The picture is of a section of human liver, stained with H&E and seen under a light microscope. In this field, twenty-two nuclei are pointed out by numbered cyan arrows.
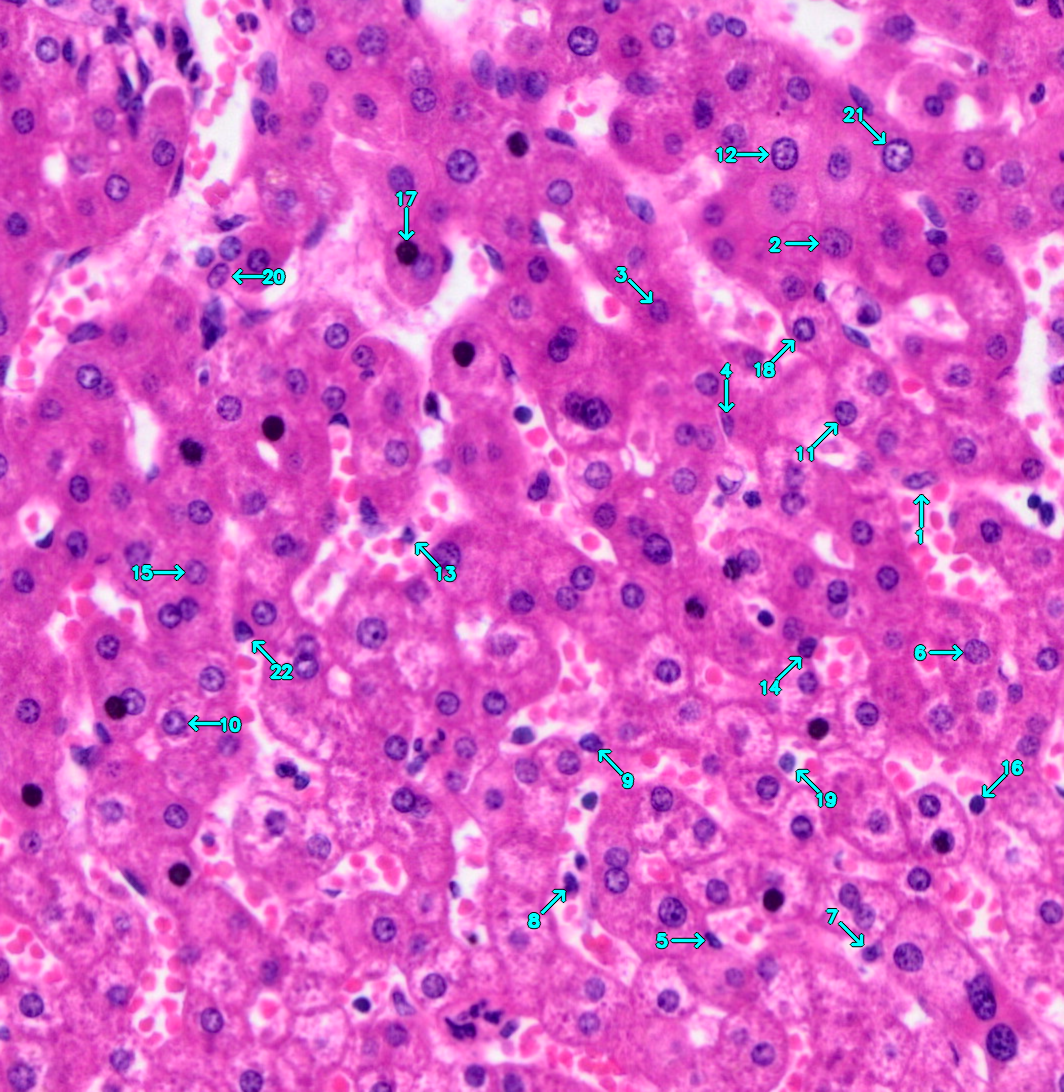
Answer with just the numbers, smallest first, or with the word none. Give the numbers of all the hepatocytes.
2, 3, 6, 10, 11, 12, 15, 17, 18, 21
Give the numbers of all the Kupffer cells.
1, 7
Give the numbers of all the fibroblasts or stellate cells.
4, 5, 9, 14, 22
